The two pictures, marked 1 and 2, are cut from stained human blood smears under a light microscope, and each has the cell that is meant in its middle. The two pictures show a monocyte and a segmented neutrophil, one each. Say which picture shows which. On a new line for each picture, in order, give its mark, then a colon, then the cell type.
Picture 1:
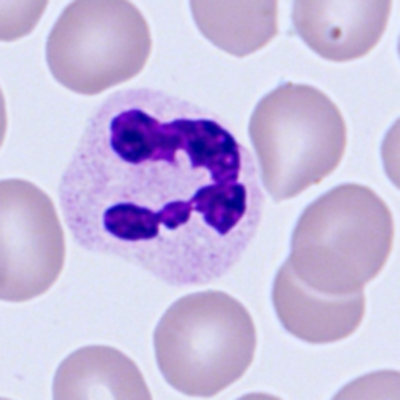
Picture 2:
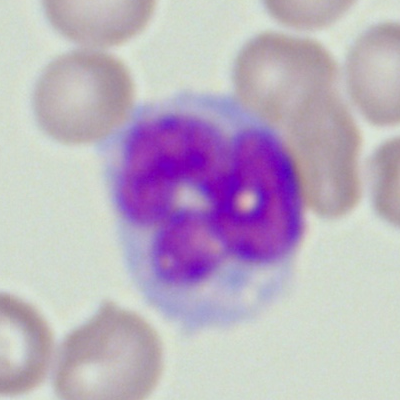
1: segmented neutrophil
2: monocyte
